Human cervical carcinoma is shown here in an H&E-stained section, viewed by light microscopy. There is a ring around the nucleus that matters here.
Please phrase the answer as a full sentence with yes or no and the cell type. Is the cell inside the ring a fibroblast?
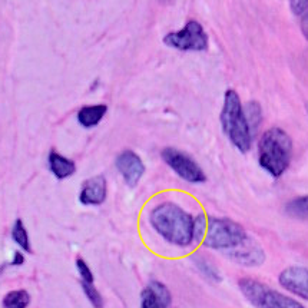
No, the right answer is that the cell inside the ring is an endothelial cell, not a fibroblast.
